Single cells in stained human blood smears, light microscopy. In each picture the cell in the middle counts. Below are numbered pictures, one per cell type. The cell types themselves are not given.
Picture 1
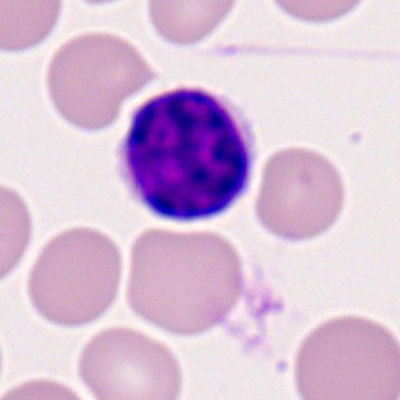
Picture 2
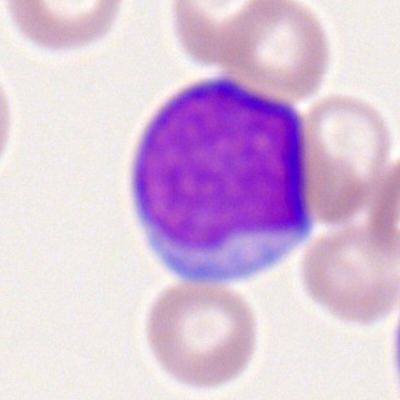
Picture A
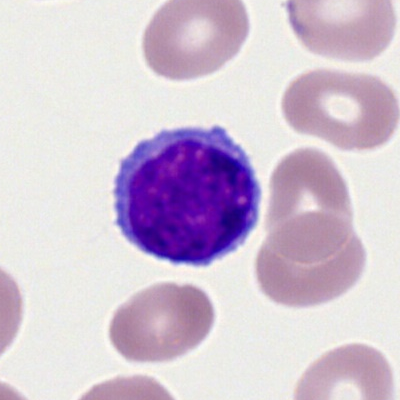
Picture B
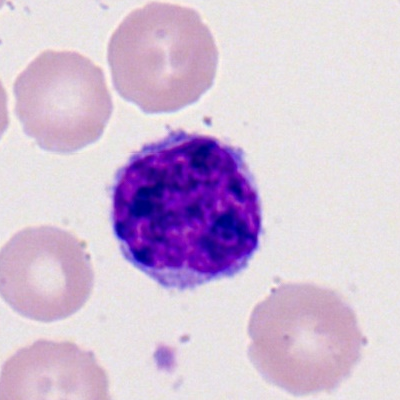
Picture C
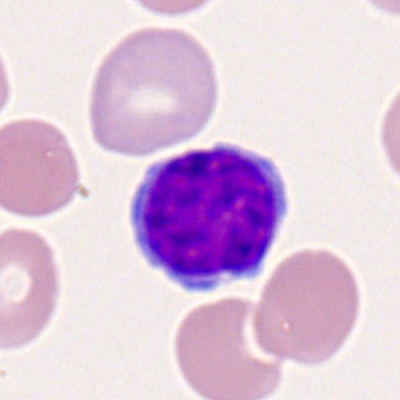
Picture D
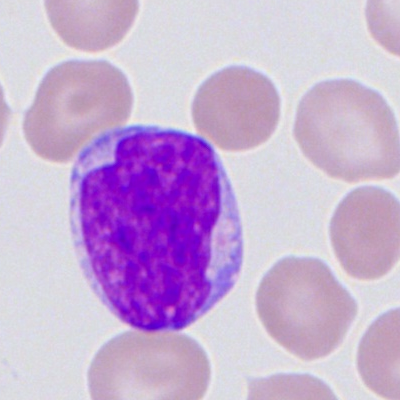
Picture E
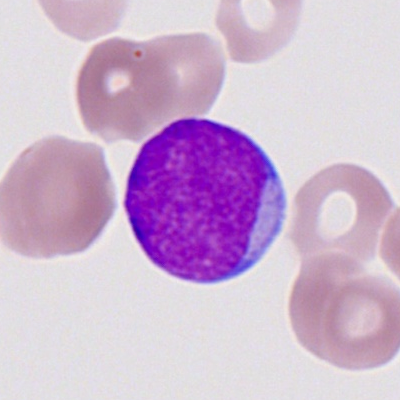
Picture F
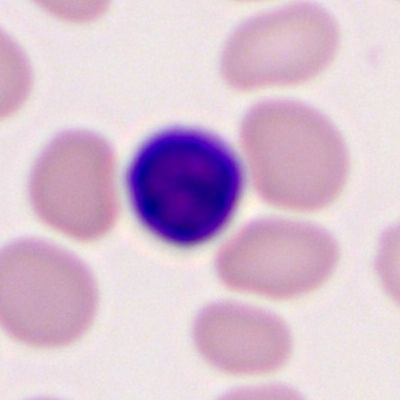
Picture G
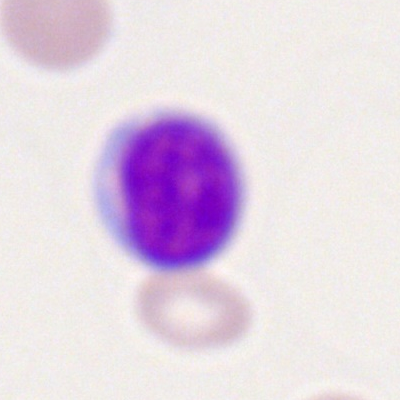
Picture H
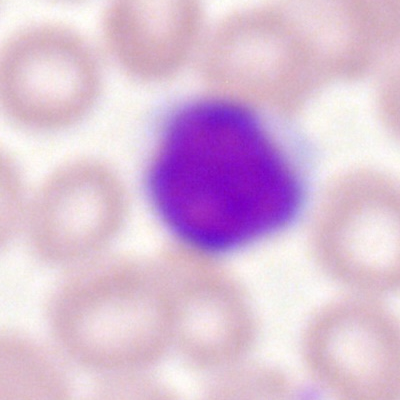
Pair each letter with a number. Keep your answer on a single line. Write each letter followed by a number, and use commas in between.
A 1, B 1, C 1, D 2, E 2, F 1, G 1, H 1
